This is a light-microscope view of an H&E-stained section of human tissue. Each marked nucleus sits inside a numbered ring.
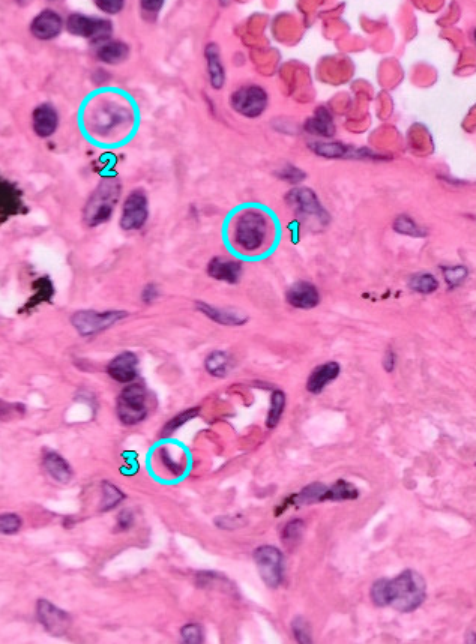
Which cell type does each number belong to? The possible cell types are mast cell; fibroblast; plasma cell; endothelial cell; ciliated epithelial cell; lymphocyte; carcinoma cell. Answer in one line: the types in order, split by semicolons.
plasma cell; fibroblast; endothelial cell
